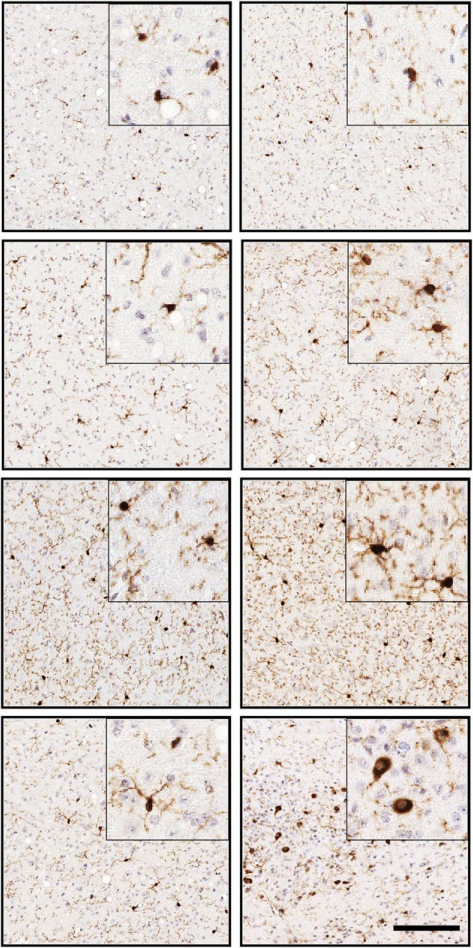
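Most microglia have a small, dark soma from which several thin, branching processes radiate into the surrounding tissue, as seen enlarged in the insets. In the bottom right field many of the brown cells have larger, rounded, densely stained somata with shorter and fewer processes, and they lie more closely packed than in the other fields.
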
